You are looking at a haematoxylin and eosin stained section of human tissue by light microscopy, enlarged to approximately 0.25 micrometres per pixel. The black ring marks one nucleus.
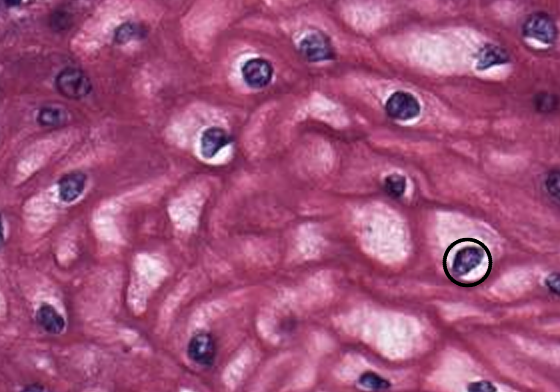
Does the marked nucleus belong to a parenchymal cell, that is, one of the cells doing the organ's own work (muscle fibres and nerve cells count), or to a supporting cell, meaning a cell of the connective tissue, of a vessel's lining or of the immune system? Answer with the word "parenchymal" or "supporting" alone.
parenchymal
